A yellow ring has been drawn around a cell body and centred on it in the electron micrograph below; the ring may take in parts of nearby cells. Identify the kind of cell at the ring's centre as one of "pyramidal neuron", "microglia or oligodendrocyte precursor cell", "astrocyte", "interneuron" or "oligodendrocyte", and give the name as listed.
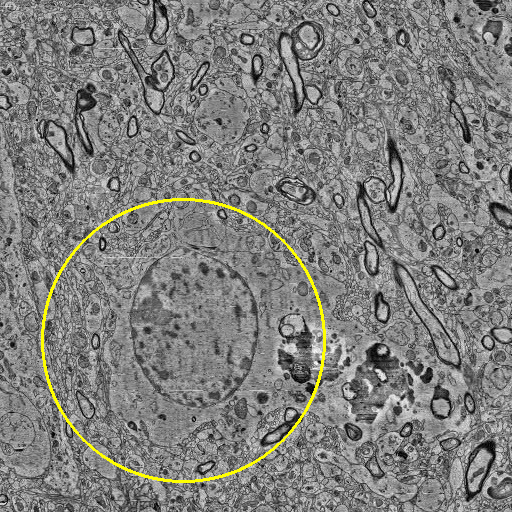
astrocyte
